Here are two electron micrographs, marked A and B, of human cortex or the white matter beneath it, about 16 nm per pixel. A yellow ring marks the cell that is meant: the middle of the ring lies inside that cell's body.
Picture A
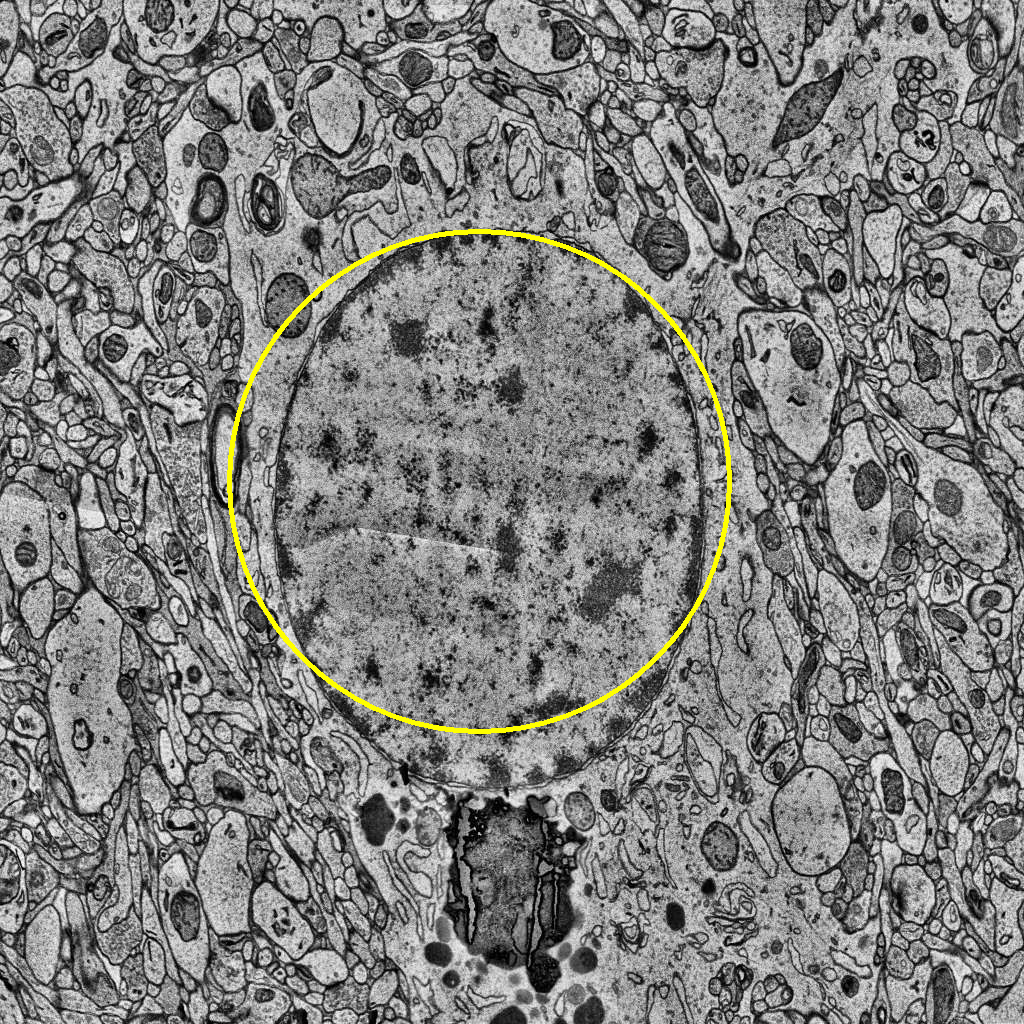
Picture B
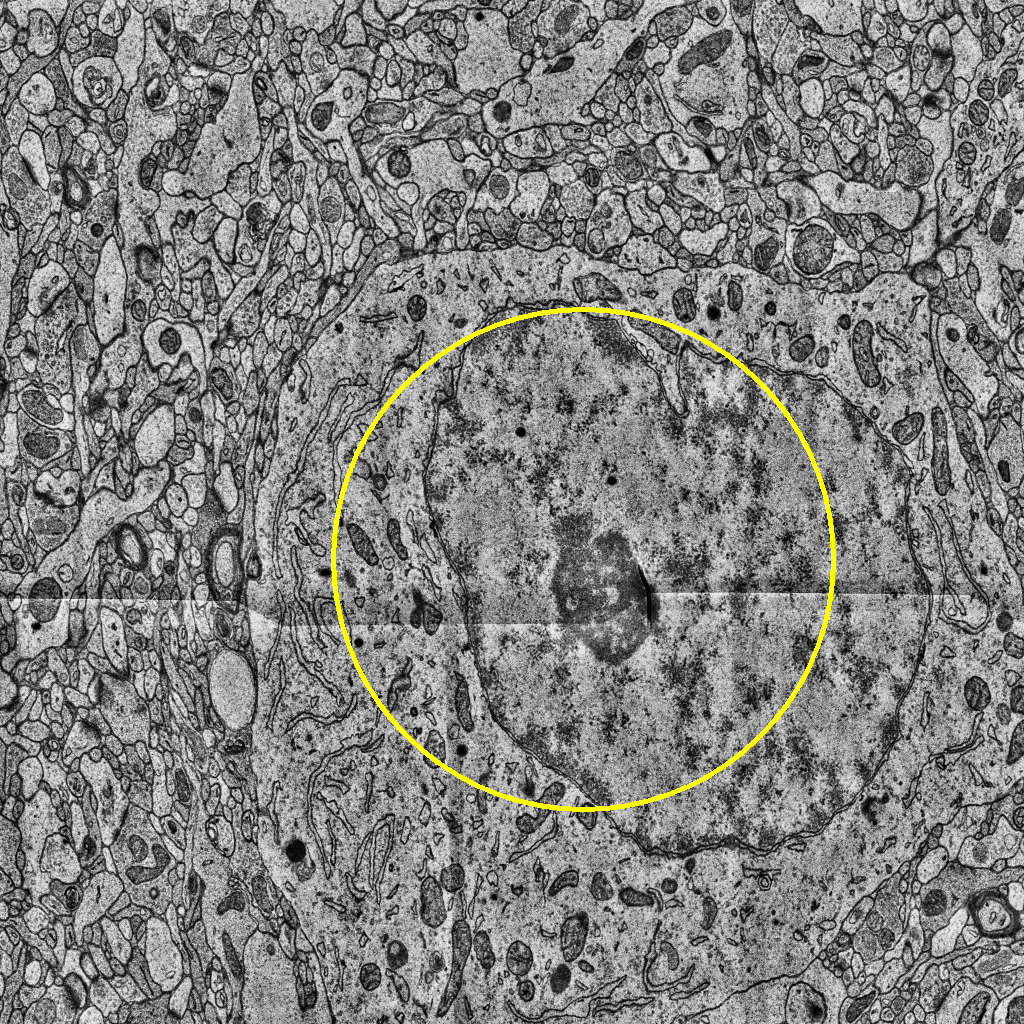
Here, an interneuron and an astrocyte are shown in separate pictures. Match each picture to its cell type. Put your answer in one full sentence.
It is picture A that shows an astrocyte, and picture B that shows an interneuron.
